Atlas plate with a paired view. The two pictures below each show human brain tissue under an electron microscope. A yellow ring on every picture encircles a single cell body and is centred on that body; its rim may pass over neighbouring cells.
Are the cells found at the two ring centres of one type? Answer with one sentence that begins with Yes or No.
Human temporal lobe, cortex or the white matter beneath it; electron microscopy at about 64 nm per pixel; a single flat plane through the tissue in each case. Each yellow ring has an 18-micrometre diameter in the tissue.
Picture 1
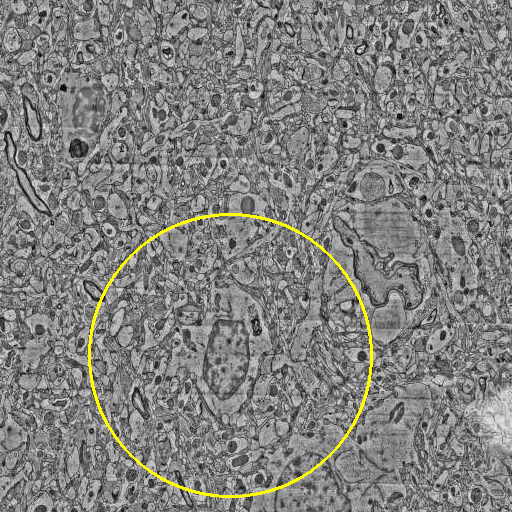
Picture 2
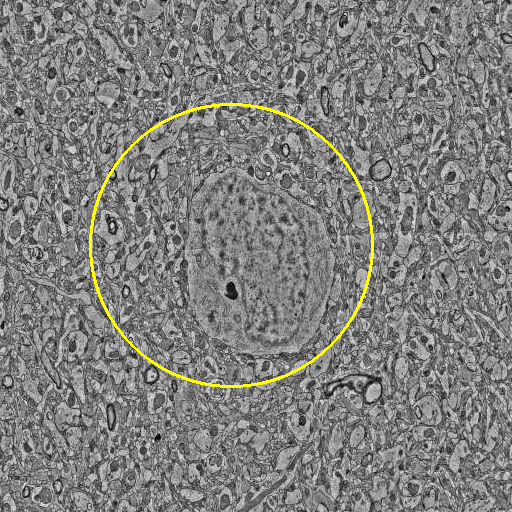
No, the two cells lying at the centres of the rings are of two types.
